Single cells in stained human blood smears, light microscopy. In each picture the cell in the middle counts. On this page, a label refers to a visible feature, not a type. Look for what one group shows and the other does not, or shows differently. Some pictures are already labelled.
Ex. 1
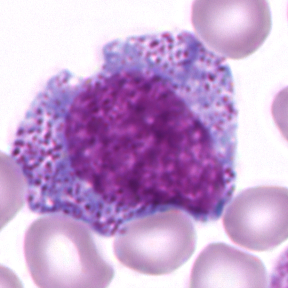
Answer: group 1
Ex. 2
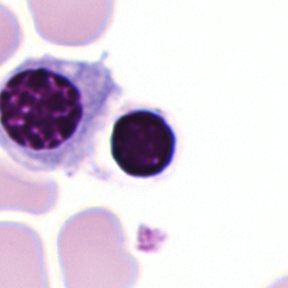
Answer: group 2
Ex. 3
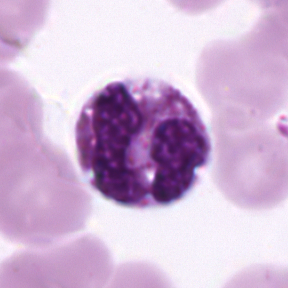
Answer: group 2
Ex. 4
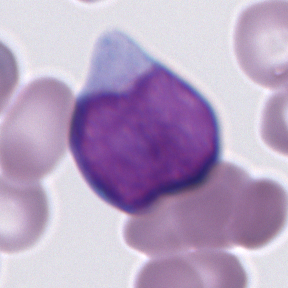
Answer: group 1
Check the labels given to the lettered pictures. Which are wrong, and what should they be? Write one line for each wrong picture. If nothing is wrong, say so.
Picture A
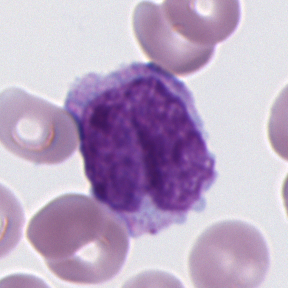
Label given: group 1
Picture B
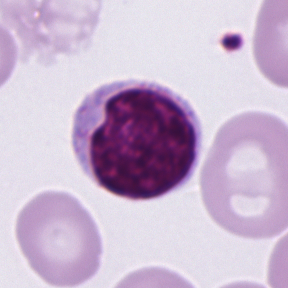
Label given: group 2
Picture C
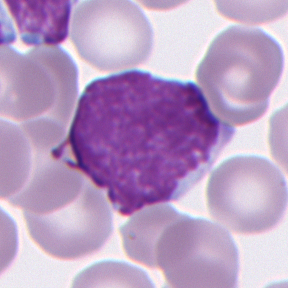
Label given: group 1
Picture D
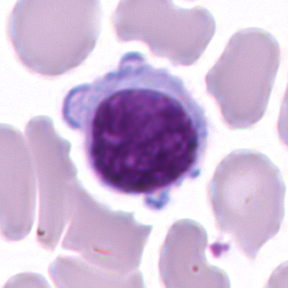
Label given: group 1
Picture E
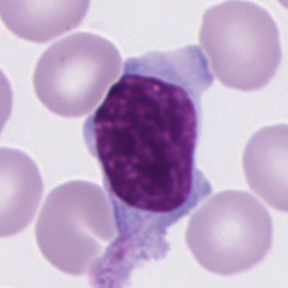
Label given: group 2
E is labelled group 2; correct label: group 1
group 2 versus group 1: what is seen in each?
In group 2: smooth outline. In group 1: ragged outline or projections.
